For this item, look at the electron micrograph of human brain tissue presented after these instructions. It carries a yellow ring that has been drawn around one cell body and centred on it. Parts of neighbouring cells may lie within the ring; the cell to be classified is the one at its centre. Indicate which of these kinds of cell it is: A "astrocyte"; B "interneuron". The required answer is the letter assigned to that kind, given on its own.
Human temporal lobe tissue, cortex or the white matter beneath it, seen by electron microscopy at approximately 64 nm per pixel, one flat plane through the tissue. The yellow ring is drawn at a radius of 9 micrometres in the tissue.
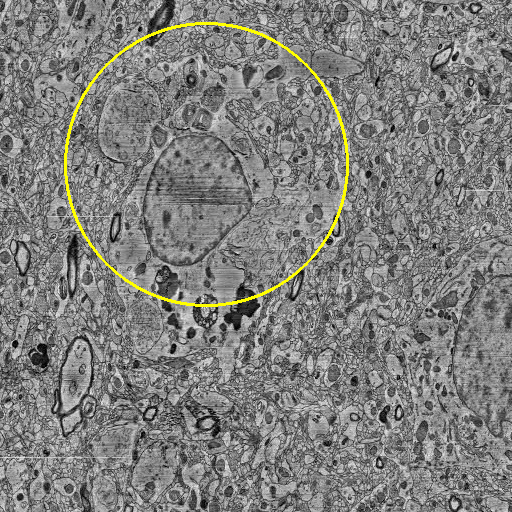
A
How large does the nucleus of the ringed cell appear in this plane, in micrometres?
The ringed cell's nucleus is about 9 micrometres long and 7 micrometres wide in this plane.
